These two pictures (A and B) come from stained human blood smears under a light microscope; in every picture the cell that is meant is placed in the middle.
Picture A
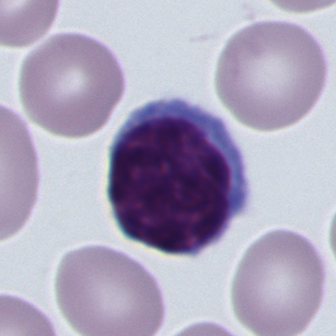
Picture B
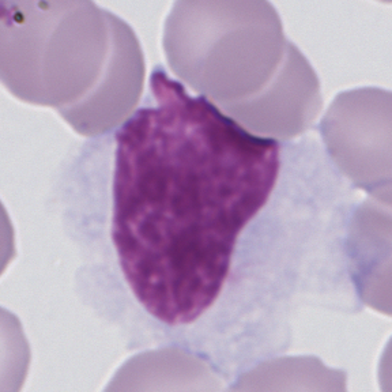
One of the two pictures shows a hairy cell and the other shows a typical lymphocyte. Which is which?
A: typical lymphocyte
B: hairy cell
